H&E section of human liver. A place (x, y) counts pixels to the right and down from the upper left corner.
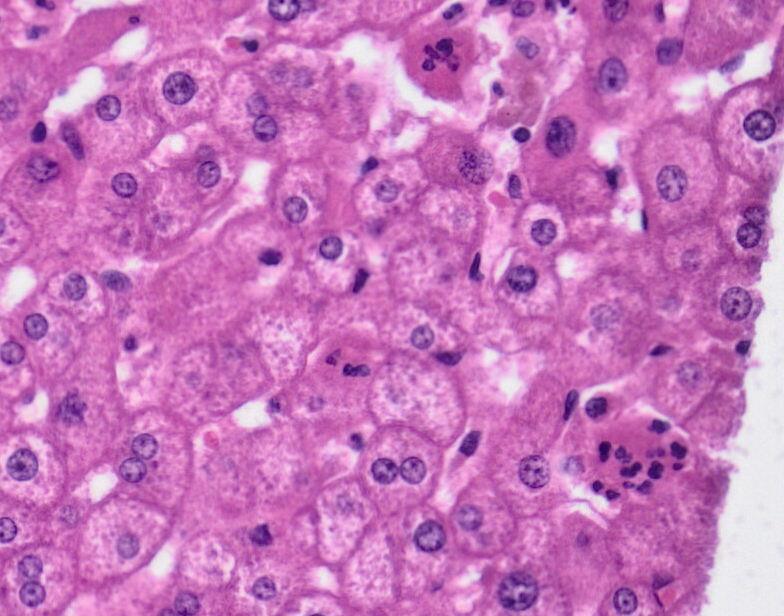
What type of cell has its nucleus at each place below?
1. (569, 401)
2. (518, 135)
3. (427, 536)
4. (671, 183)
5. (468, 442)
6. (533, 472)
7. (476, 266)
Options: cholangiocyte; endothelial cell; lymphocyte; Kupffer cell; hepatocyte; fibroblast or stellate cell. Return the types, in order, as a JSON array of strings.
["fibroblast or stellate cell", "lymphocyte", "hepatocyte", "hepatocyte", "Kupffer cell", "hepatocyte", "endothelial cell"]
